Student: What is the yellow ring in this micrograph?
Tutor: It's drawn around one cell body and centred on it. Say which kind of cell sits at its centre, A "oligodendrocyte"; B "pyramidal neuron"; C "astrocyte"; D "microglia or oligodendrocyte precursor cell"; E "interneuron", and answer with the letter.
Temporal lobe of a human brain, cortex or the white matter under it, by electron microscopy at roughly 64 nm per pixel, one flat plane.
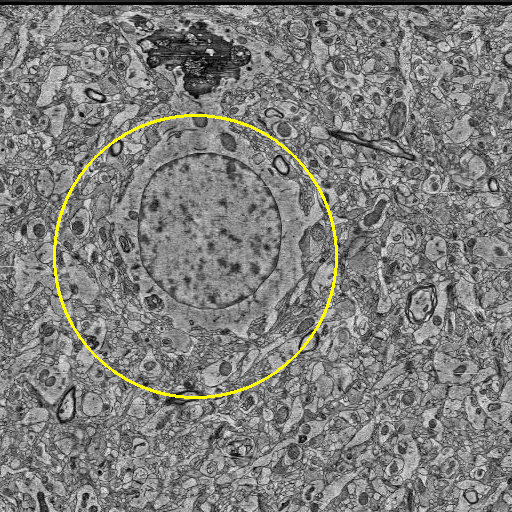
C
